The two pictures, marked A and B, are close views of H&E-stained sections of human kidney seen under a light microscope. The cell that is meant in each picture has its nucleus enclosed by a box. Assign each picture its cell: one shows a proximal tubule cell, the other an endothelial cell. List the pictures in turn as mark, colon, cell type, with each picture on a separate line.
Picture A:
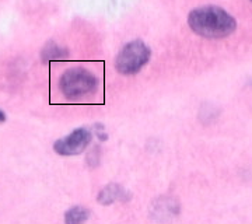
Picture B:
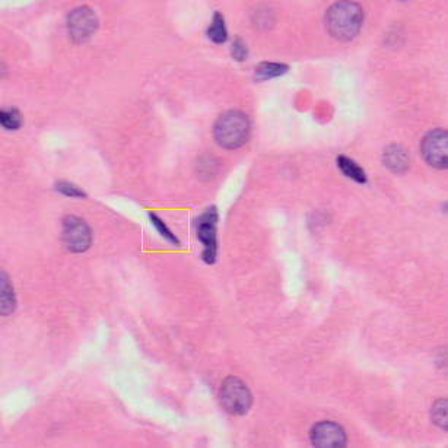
A: proximal tubule cell
B: endothelial cell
